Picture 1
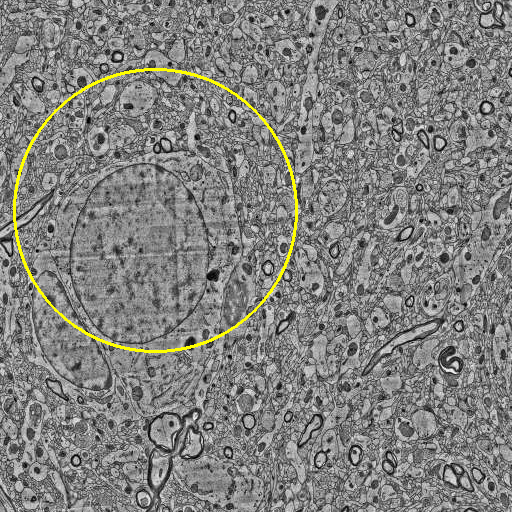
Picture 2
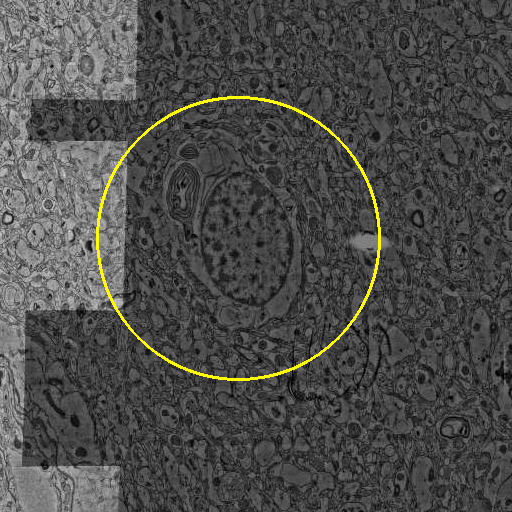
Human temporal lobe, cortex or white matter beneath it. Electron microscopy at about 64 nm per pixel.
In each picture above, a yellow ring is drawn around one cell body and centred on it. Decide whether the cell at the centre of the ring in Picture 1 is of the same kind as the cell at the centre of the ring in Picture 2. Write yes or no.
no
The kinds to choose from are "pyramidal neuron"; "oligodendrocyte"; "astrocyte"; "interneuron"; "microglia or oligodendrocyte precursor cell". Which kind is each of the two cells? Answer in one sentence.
Of the two, the first cell is a pyramidal neuron and the second cell is an astrocyte.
